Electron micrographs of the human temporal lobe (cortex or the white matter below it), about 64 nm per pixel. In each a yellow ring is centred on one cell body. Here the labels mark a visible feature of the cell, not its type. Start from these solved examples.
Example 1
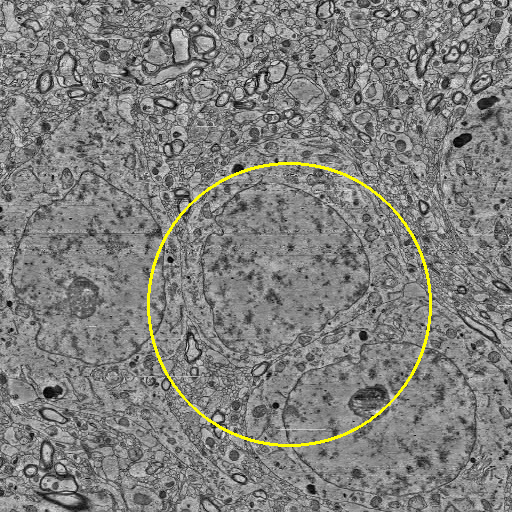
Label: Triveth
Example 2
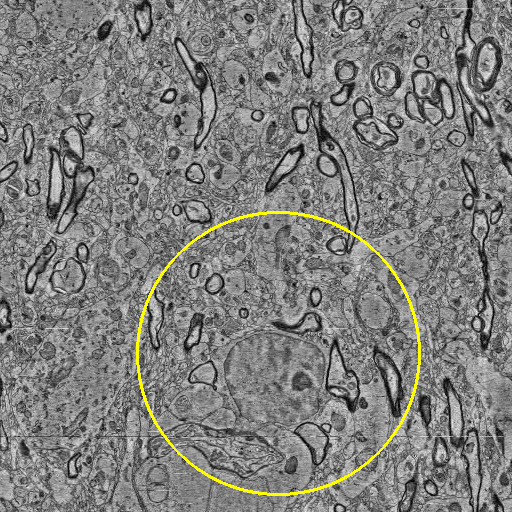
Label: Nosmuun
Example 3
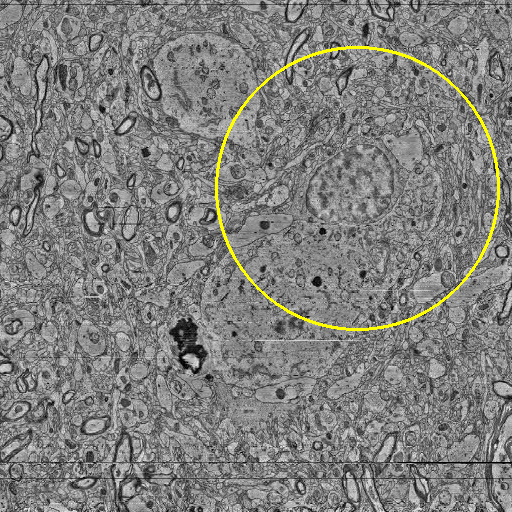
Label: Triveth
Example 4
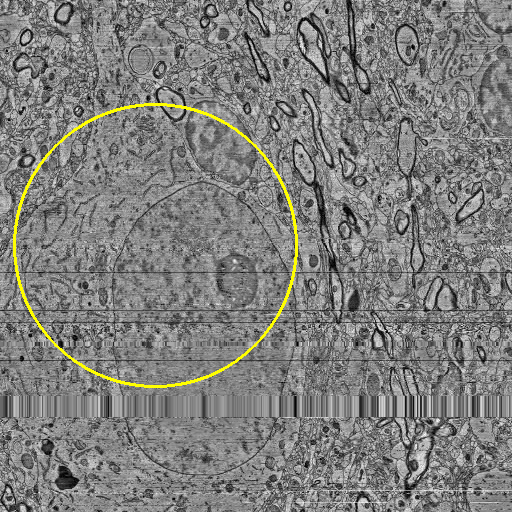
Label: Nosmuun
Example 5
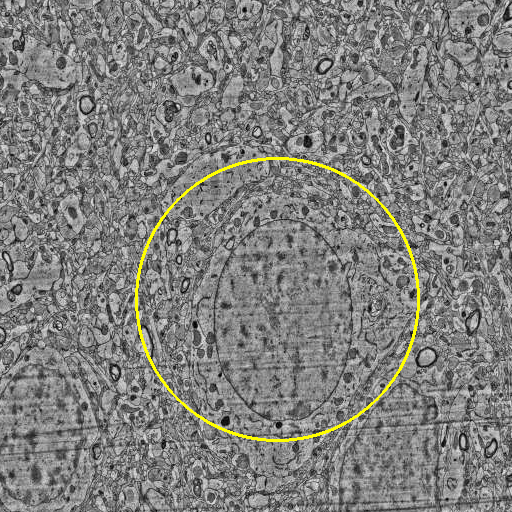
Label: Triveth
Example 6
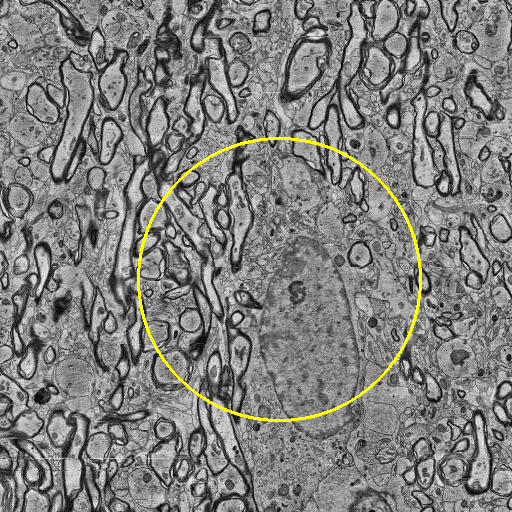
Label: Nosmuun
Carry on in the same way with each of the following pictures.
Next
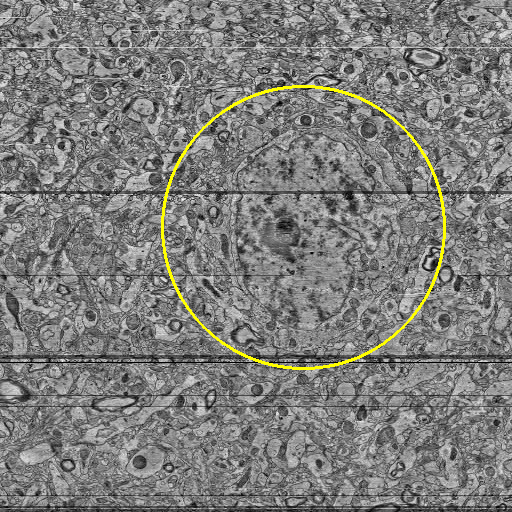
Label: Nosmuun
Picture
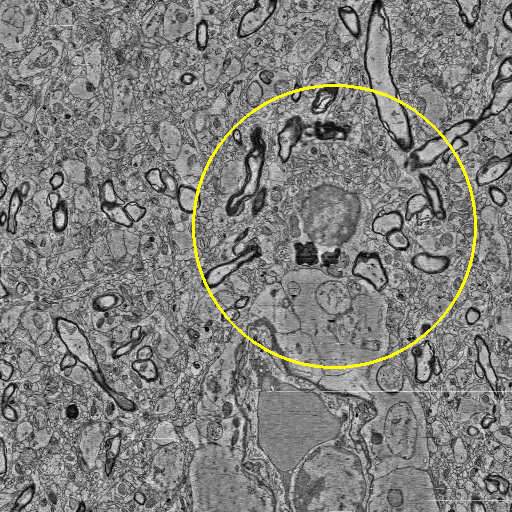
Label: Triveth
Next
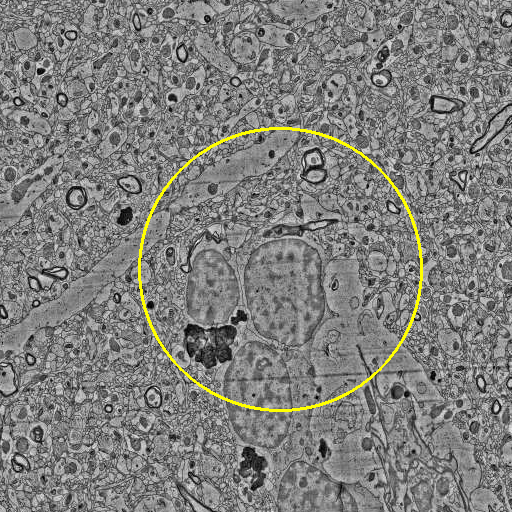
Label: Triveth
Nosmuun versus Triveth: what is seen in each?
Seen in Nosmuun: nucleolus seen; seen in Triveth: no nucleolus seen.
